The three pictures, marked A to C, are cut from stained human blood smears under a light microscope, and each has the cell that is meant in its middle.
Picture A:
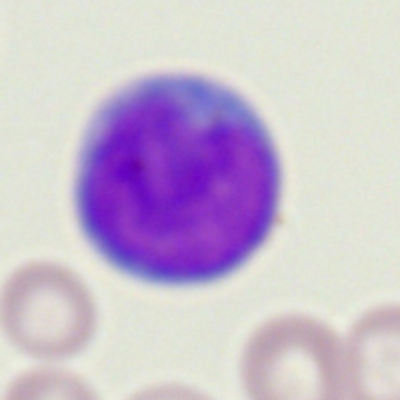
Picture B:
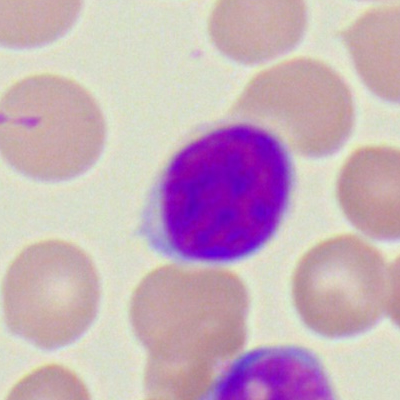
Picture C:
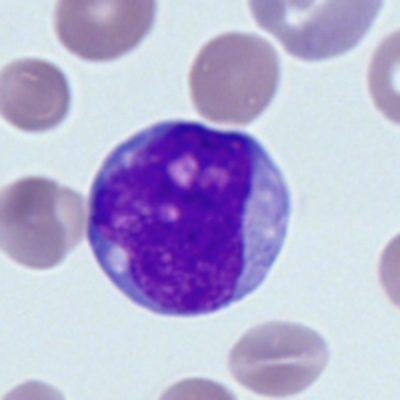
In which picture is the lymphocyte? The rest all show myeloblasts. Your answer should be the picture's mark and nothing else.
B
